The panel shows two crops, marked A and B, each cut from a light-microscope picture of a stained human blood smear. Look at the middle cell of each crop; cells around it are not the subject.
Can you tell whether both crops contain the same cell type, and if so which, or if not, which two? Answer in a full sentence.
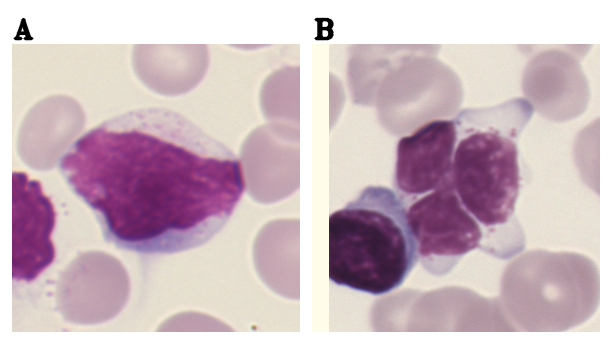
Yes, large granular lymphocytes are depicted in both crops.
